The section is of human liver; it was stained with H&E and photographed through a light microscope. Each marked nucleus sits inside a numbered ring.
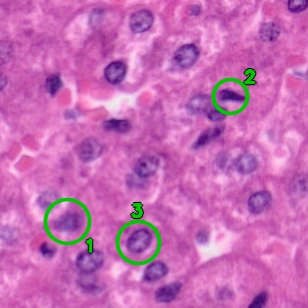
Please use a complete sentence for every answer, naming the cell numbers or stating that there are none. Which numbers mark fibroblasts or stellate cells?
The cell marked by number 2 is a fibroblast or stellate cell; the other marked cells are not.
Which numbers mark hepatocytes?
Among the numbered cells, the one that is a hepatocyte is cell 3 alone.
